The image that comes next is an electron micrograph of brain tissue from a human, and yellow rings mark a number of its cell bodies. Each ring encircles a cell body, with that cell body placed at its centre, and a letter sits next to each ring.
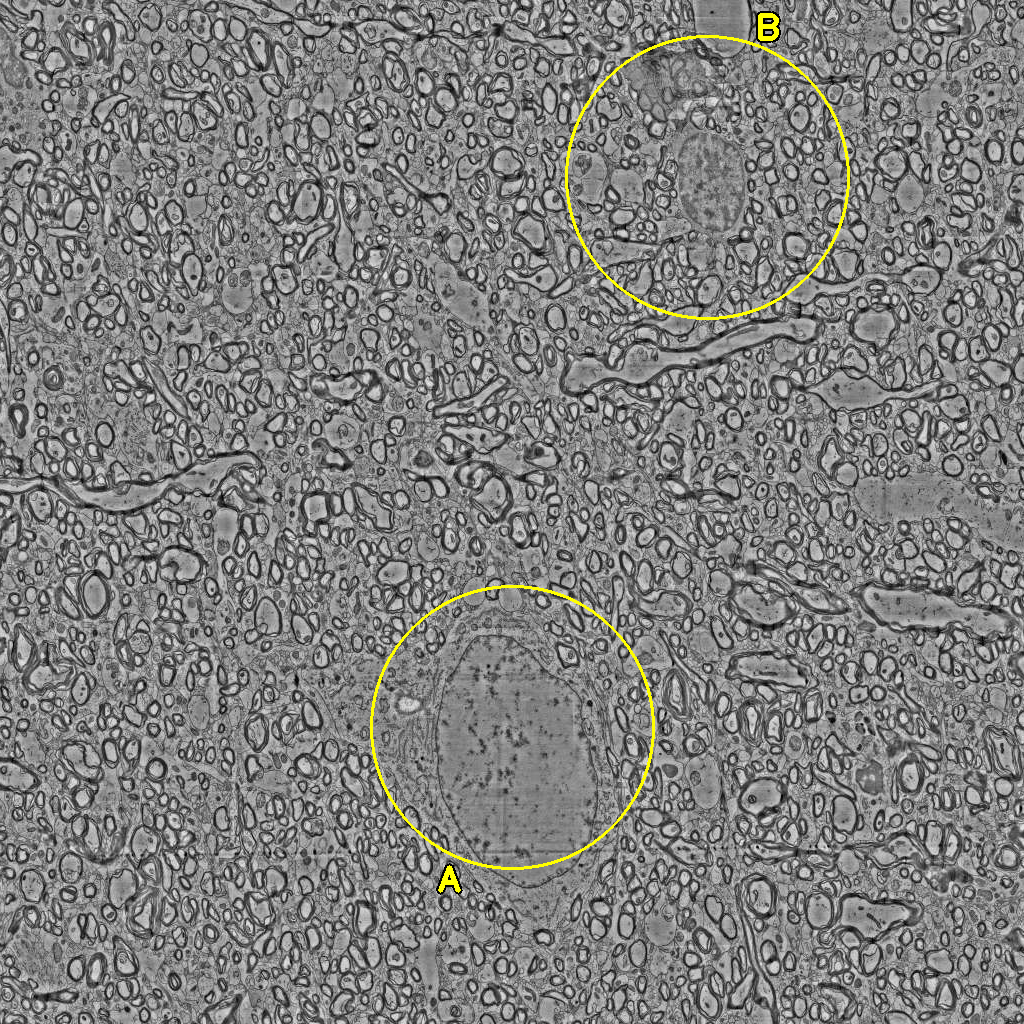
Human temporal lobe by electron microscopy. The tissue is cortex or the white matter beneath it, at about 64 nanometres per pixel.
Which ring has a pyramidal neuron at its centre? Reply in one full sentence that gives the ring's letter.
In the image, ring A has the cell the question asks for at its centre.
